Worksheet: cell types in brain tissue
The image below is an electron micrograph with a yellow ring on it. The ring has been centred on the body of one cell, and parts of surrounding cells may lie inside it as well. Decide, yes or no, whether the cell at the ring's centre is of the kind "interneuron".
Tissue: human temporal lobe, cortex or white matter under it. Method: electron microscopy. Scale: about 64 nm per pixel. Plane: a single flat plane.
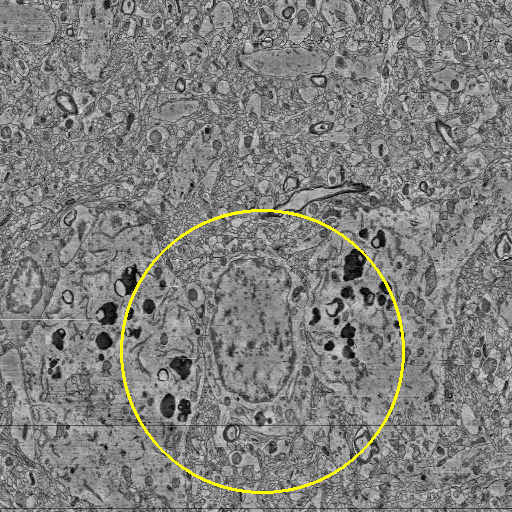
yes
